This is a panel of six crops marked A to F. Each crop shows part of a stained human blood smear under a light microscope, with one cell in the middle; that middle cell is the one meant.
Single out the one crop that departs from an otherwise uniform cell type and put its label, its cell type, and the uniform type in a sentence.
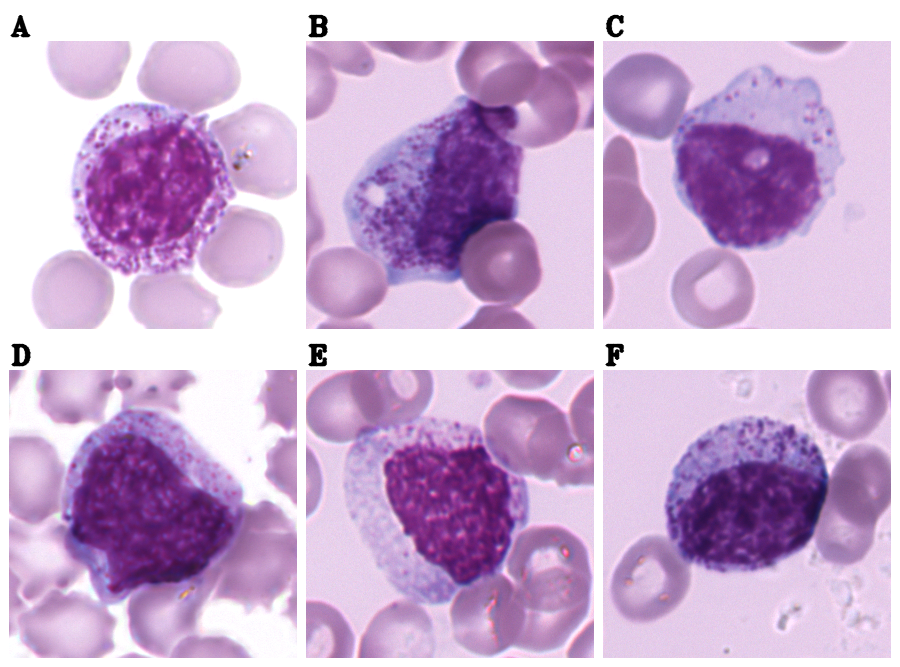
Crop C is a large granular lymphocyte, unlike the other crops, which all show myelocytes.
